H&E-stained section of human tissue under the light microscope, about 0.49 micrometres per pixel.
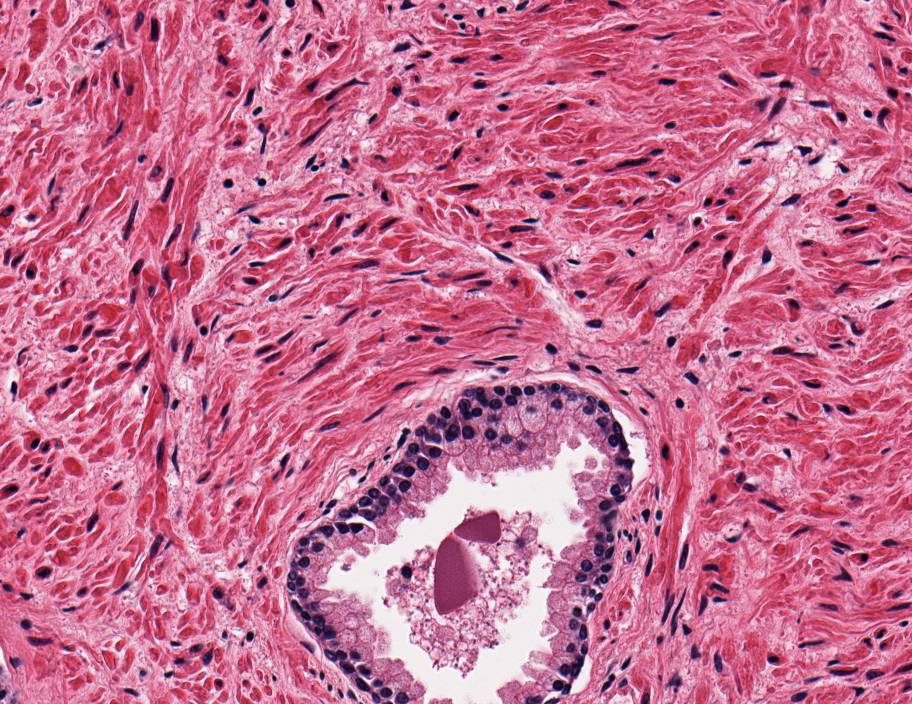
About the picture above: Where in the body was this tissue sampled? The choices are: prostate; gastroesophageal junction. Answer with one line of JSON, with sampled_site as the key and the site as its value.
{"sampled_site": "prostate"}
